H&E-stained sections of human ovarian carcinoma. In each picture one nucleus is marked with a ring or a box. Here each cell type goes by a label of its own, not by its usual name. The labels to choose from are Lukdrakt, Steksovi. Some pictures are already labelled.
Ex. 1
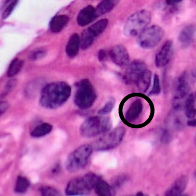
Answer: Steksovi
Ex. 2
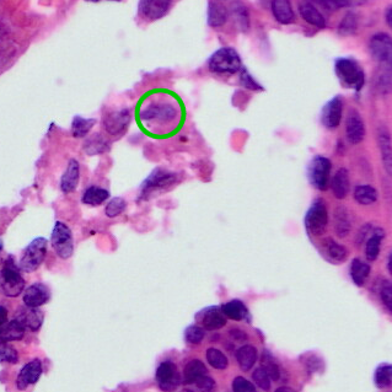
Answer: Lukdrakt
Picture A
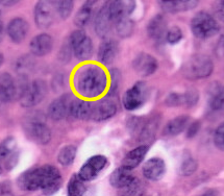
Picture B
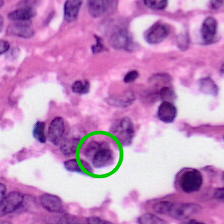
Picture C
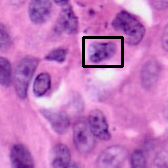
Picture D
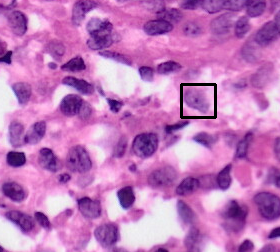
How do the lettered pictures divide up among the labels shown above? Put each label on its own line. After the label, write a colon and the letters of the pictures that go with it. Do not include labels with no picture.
Lukdrakt: C, D
Steksovi: A, B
